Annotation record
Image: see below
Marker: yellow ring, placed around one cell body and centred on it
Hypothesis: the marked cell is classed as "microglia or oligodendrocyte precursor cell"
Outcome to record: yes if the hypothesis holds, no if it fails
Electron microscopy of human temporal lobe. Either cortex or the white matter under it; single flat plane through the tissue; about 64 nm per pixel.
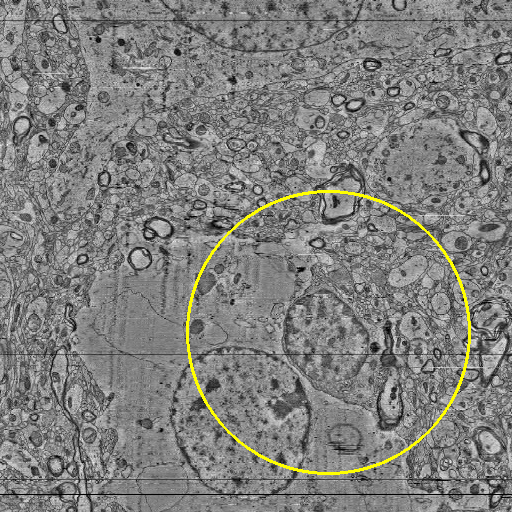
no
